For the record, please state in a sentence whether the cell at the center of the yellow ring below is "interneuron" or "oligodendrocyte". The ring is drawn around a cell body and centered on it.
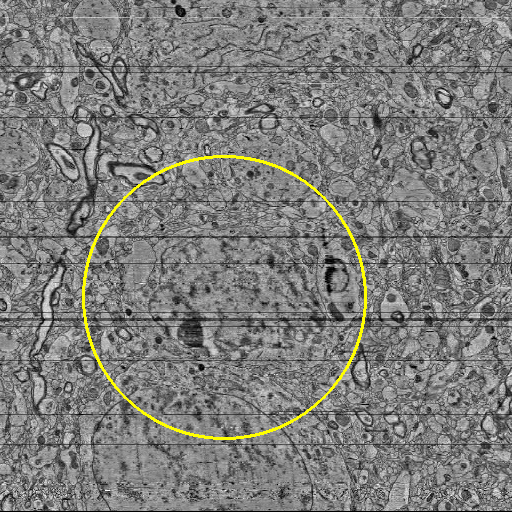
The cell at the ring's center is an interneuron.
